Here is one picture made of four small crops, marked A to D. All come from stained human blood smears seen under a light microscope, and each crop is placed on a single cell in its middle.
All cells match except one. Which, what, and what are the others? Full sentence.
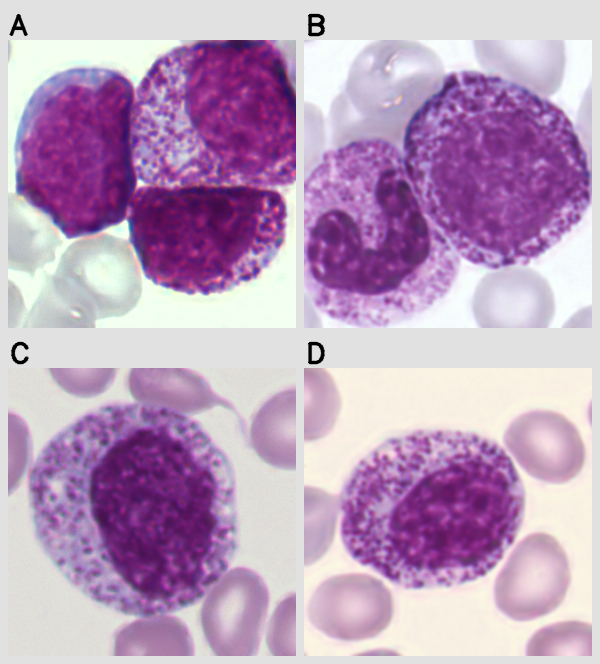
All of the other crops show myelocytes; crop B, by contrast, is a promyelocyte.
